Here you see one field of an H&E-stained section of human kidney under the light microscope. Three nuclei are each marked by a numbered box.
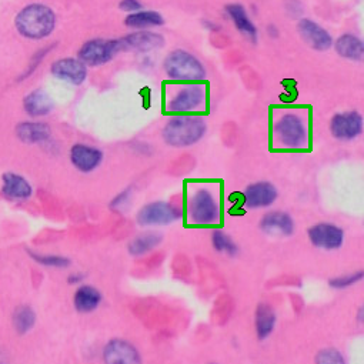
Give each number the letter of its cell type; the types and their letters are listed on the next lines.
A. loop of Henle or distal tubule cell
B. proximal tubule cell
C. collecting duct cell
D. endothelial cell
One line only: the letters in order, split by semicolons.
C; D; A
